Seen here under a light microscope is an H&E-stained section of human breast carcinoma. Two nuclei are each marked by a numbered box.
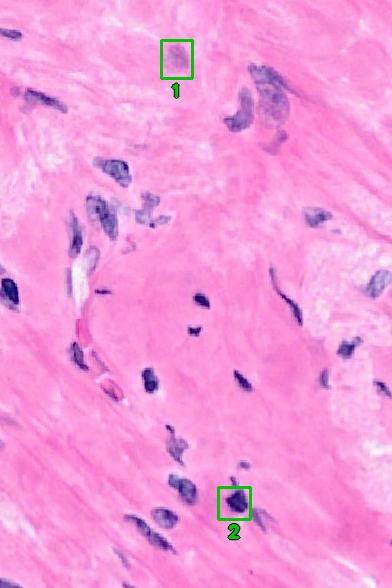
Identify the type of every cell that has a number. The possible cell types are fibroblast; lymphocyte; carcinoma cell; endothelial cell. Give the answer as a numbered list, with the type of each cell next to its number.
1. fibroblast
2. lymphocyte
